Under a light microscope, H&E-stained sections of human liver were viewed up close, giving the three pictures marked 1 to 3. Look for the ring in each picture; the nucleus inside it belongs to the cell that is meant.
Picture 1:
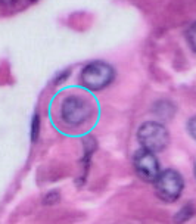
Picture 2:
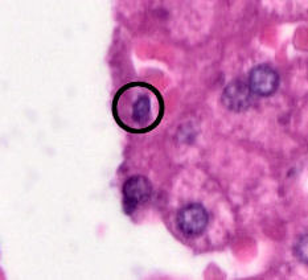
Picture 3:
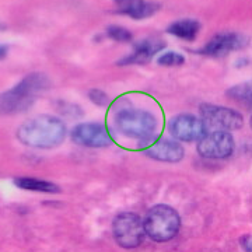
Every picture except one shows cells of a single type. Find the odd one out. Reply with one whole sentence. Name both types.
Unlike the rest, which show cholangiocytes, picture 2 shows a “fibroblast or stellate cell”.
